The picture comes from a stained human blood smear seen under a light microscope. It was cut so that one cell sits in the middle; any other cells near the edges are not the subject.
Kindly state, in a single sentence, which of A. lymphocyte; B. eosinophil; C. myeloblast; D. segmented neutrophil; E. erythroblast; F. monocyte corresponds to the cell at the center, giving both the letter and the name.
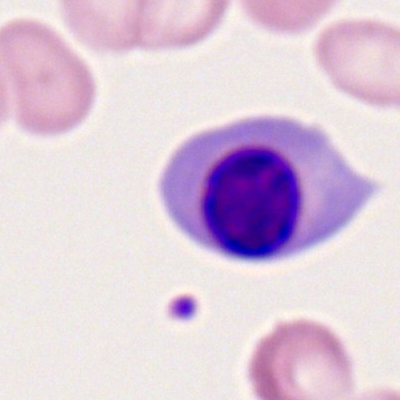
The centered cell is an erythroblast, which is why option E is right.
